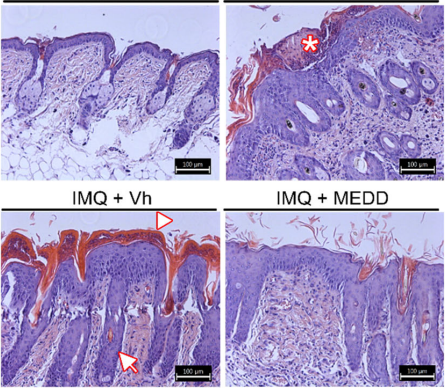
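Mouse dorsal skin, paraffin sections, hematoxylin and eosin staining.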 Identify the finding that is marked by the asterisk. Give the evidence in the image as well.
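The asterisk lies in the upper, outermost layer of a thickened epidermis. The layer around the asterisk is stained red-pink, with small dark dots inside it.
Munro’s abscess.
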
